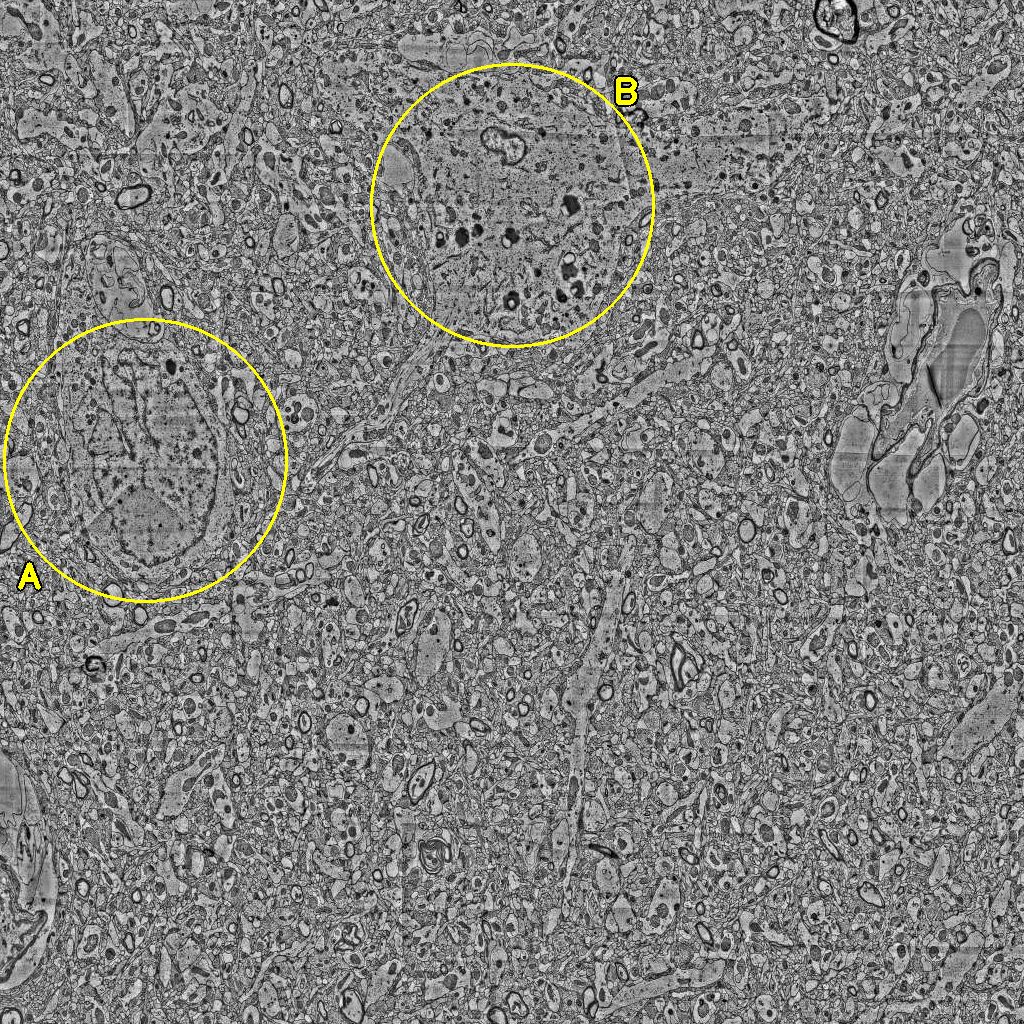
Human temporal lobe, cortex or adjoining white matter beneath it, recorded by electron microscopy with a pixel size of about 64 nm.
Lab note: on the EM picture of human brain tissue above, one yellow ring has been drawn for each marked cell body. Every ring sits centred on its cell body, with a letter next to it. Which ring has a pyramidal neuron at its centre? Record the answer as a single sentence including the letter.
Noted: the cell in question is at the centre of ring B.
